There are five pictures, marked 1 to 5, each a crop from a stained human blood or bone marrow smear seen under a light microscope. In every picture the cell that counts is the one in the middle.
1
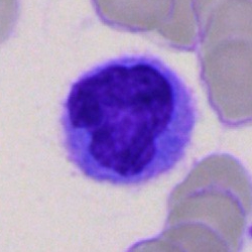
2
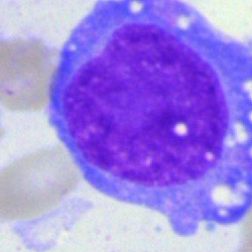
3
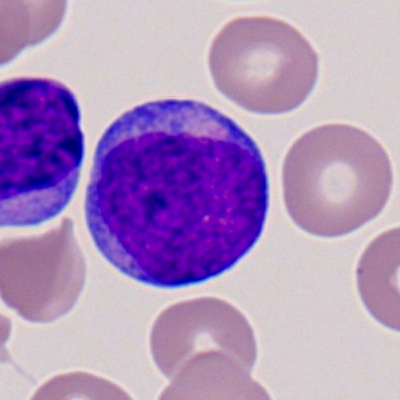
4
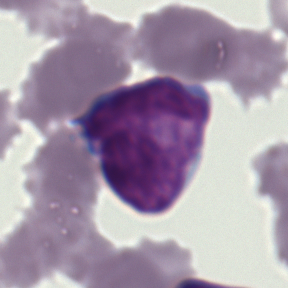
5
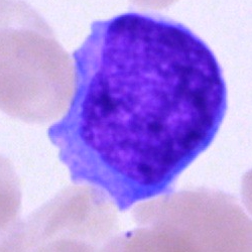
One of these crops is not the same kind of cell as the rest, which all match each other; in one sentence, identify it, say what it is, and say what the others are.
Seen in crop 1 is a monocyte, and seen in all other crops are blasts.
